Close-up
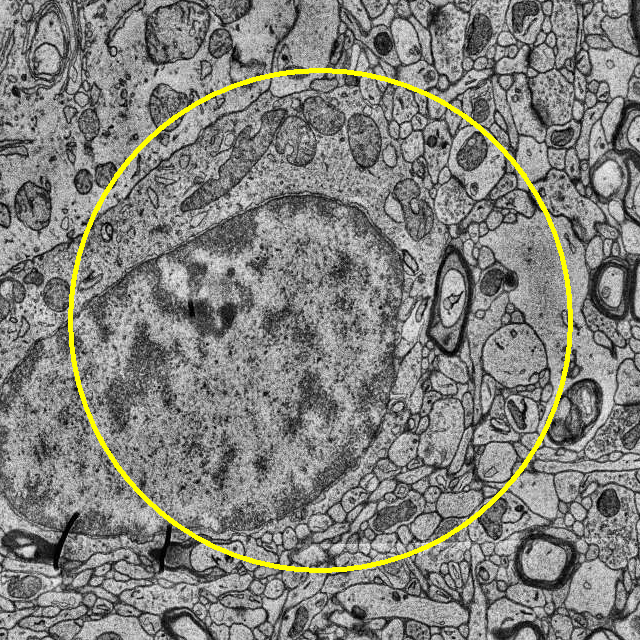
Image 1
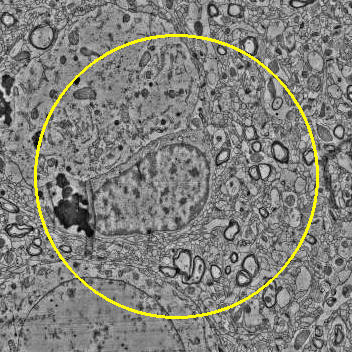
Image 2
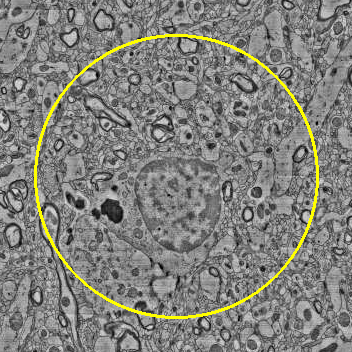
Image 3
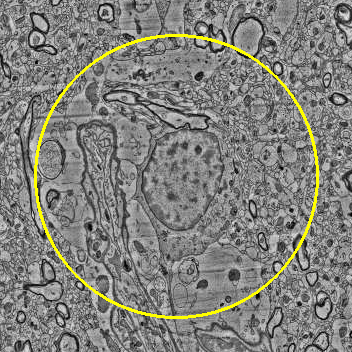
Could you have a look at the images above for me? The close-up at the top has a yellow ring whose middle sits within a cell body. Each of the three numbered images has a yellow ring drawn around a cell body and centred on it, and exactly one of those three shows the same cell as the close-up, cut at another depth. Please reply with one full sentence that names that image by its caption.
The close-up zooms in on the cell circled in Image 1.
